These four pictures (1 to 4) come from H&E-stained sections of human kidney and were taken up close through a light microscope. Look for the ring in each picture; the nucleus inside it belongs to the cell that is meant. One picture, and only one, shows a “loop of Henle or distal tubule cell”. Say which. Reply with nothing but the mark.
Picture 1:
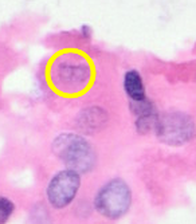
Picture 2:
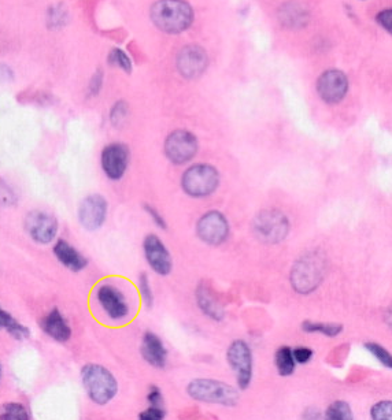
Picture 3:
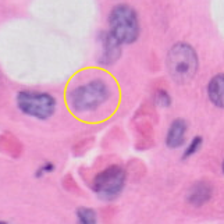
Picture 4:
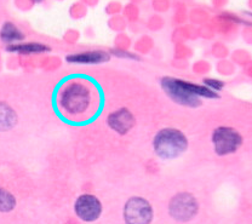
3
